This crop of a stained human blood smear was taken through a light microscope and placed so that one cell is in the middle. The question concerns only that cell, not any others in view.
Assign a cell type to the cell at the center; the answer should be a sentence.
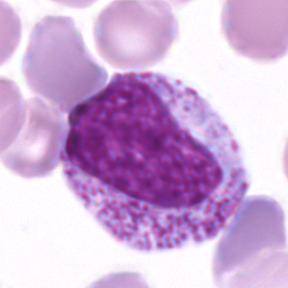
Seen at the centre of the crop is a myelocyte.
